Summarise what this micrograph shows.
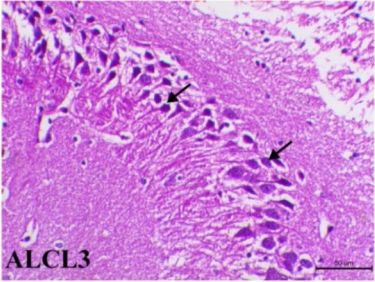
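This is the hippocampal pyramidal cell layer, but here many of the neurons are shrunken, angular and stained deep purple. Their nuclei are condensed and dark, so the usual pale nucleus with a nucleolus can no longer be made out in most cells. Around the cells there are clear spaces, and the neuropil beside the layer looks loose and streaked rather than evenly fine.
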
